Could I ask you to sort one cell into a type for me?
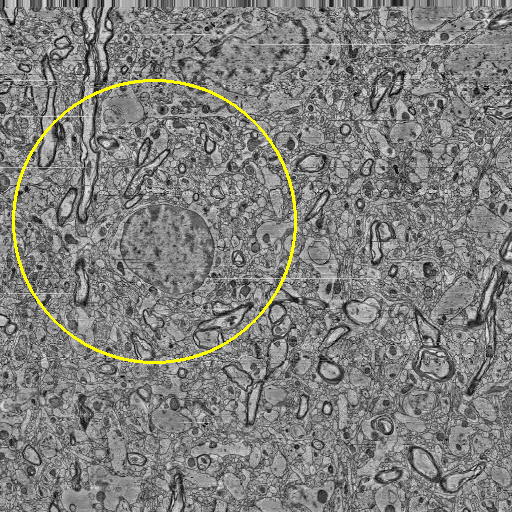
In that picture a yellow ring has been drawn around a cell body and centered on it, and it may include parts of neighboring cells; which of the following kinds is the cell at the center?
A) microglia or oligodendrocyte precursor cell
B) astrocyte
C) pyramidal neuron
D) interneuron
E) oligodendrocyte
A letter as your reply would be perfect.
A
